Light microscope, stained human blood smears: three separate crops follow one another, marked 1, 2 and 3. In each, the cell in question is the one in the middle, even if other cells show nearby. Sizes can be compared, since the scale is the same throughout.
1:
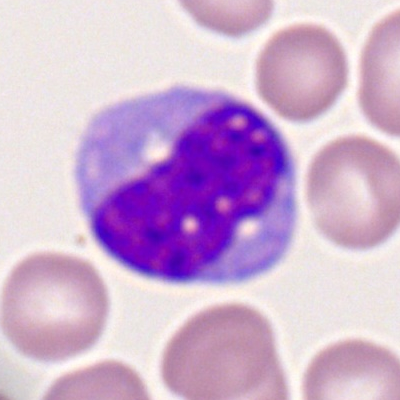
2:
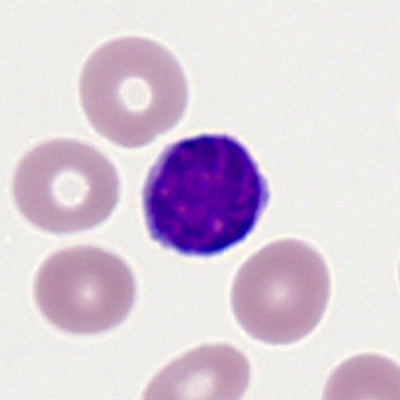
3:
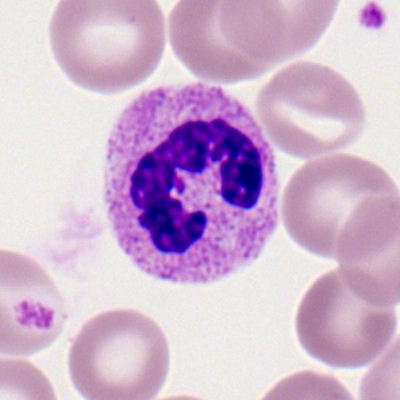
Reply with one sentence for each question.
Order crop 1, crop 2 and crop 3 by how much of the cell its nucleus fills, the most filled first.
From the most filled to the least, the order is 2, 1, 3.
